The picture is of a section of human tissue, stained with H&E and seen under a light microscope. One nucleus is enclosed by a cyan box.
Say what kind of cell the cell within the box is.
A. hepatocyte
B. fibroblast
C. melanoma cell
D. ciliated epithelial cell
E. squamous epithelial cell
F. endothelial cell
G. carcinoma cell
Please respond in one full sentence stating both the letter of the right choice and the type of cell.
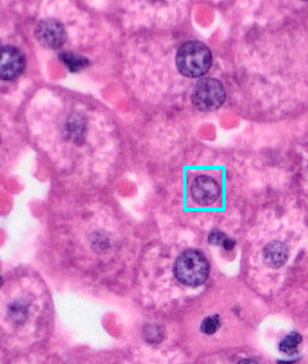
Option A correctly labels the cell within the box as a hepatocyte.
